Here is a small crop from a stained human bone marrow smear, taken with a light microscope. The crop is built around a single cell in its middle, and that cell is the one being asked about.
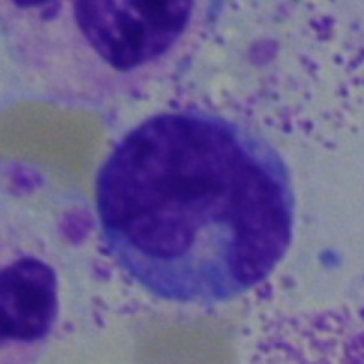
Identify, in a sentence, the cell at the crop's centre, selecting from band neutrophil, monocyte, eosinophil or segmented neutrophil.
Classified as a monocyte is the cell in the middle of this crop.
